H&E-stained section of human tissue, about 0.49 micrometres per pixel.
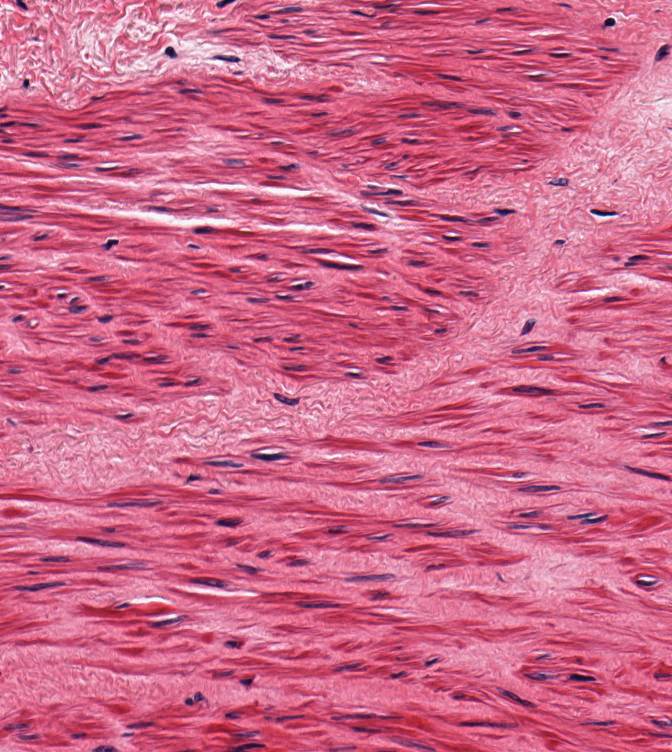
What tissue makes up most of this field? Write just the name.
tunica media of an artery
